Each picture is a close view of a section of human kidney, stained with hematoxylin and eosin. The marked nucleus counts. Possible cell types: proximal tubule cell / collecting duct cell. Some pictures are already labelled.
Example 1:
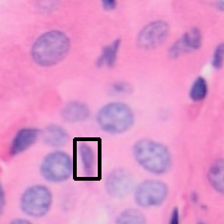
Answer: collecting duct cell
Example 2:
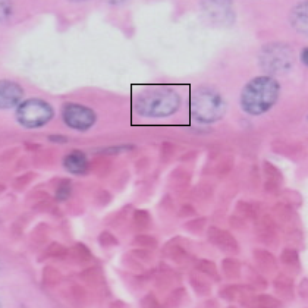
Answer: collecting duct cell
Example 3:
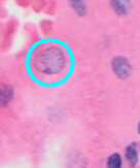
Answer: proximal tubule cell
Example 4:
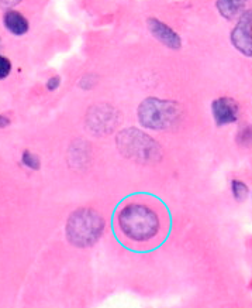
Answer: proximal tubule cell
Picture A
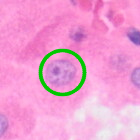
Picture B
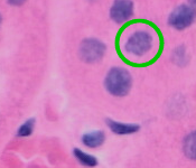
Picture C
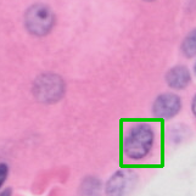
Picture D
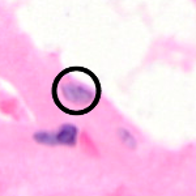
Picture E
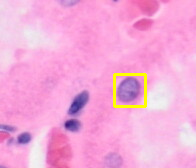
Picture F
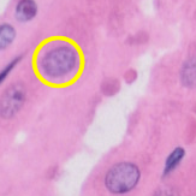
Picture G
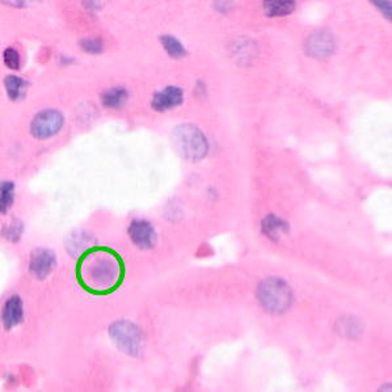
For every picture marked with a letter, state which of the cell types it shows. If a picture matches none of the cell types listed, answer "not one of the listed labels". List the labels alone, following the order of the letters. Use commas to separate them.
proximal tubule cell, not one of the listed labels, collecting duct cell, not one of the listed labels, proximal tubule cell, proximal tubule cell, not one of the listed labels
